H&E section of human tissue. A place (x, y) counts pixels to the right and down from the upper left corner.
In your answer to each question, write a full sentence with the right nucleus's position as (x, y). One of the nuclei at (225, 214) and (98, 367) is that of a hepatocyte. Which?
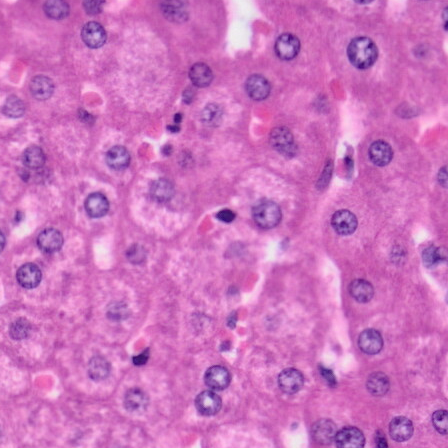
The nucleus of a hepatocyte is the one at (98, 367).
